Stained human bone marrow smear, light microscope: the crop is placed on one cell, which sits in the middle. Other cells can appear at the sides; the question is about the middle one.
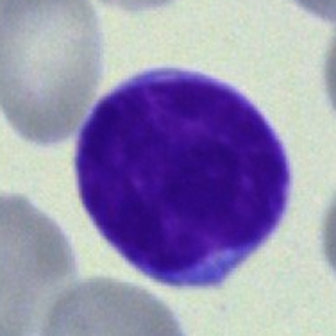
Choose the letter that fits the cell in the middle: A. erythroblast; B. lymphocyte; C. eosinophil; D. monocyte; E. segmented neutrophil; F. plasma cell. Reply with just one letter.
B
